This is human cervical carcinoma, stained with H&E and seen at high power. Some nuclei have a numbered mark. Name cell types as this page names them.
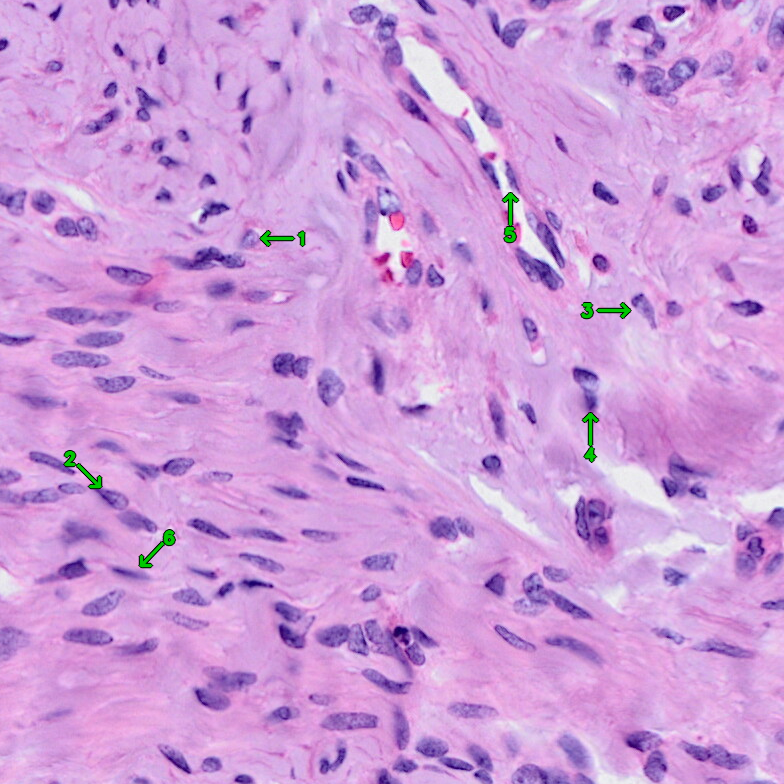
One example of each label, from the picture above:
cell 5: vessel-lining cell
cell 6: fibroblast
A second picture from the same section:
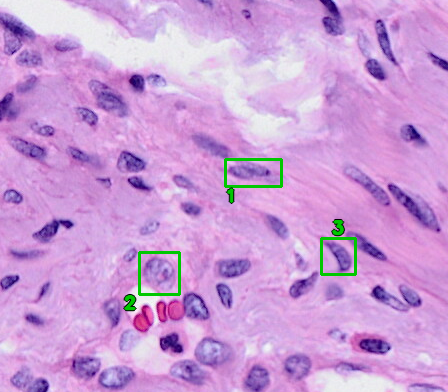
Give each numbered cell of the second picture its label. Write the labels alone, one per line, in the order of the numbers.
fibroblast
vessel-lining cell
fibroblast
